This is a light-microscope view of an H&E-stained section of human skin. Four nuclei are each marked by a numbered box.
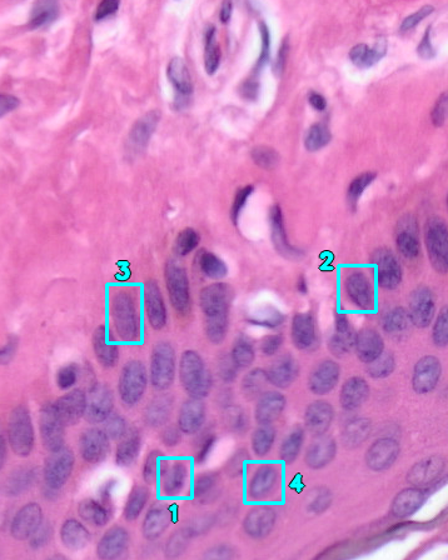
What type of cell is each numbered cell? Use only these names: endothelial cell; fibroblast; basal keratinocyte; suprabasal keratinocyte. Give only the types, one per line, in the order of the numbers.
basal keratinocyte
basal keratinocyte
basal keratinocyte
suprabasal keratinocyte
